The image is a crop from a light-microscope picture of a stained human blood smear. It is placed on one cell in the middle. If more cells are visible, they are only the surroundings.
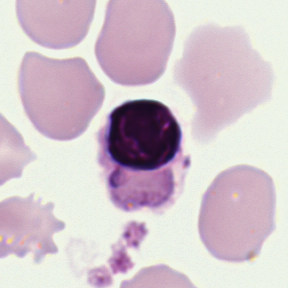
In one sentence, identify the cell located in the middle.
The central cell in this smear crop is a normoblast.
